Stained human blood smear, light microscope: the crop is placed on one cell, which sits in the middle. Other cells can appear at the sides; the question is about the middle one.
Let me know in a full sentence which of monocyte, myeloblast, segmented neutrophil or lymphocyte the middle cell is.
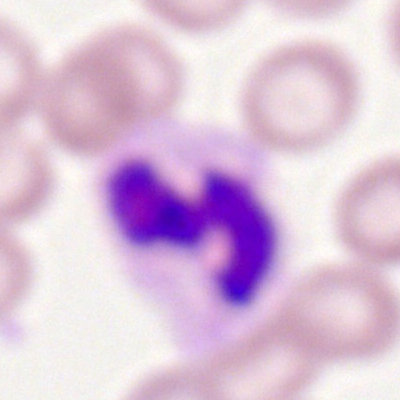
The center cell of this crop is a segmented neutrophil.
